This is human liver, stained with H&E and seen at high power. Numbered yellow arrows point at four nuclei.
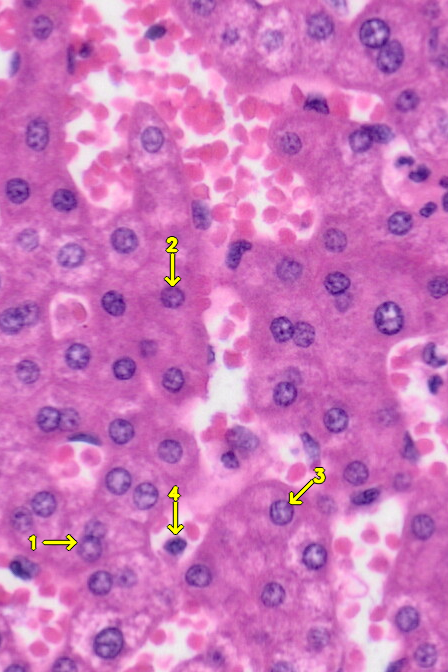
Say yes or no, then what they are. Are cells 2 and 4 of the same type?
No, cell 2 is a hepatocyte and cell 4 is a lymphocyte.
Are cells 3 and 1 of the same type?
Yes, both are hepatocytes.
